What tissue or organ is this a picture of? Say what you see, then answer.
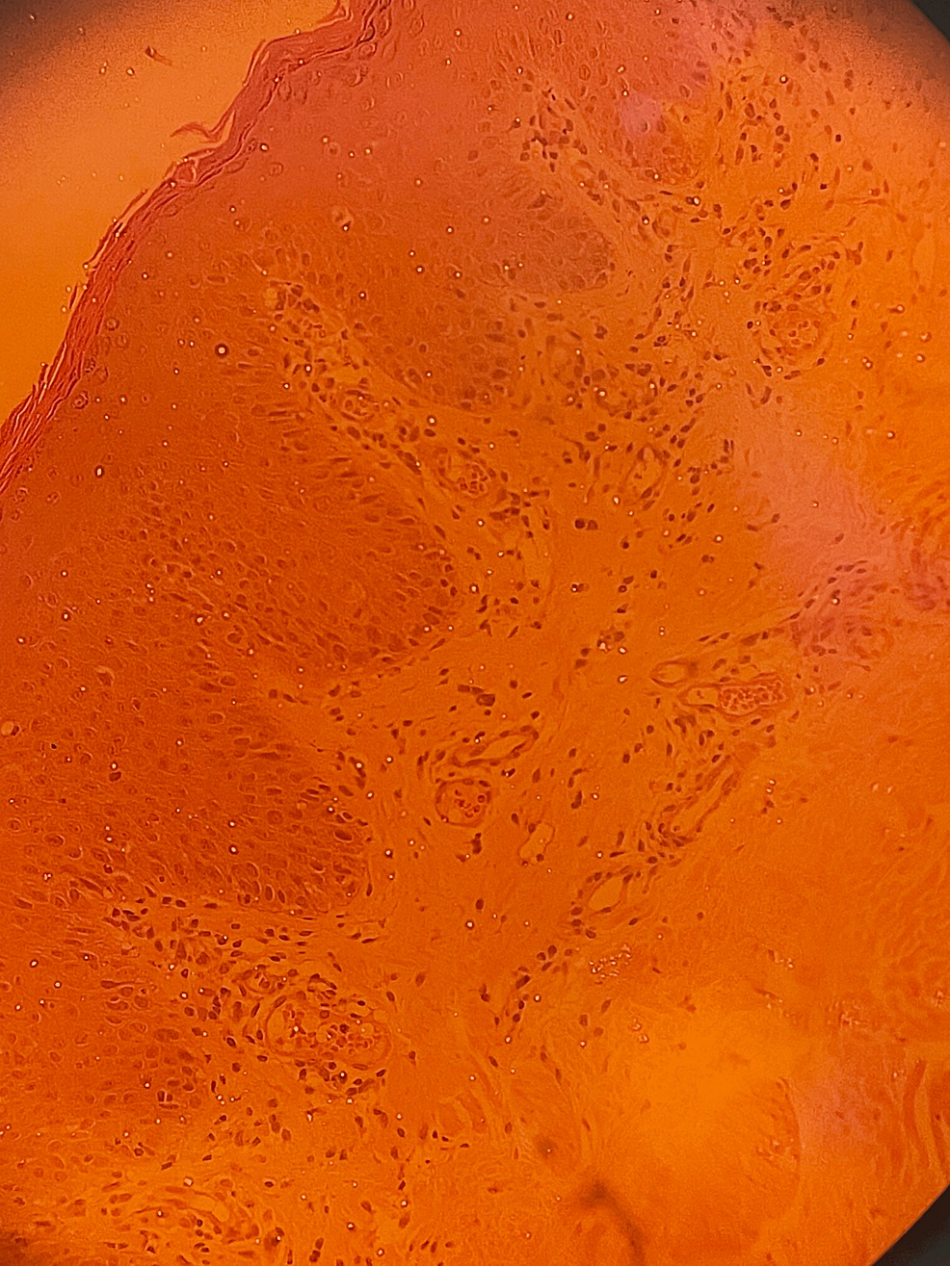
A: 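A stratified squamous epithelium with a layered cornified surface at the upper left. A fibrous connective tissue layer with small vessels beneath the epithelium. On this evidence: Skin.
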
